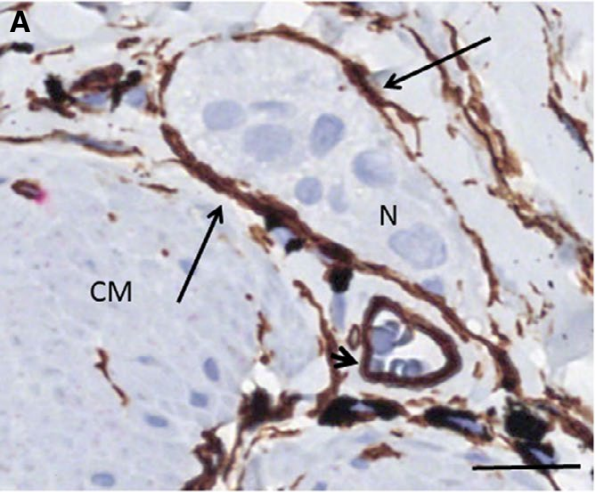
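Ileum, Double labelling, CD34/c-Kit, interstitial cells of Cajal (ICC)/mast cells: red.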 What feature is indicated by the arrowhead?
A: Blood vessel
